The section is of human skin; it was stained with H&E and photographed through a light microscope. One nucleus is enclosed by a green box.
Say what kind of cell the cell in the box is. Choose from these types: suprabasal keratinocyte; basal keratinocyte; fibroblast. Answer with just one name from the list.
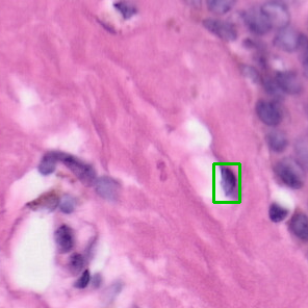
fibroblast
